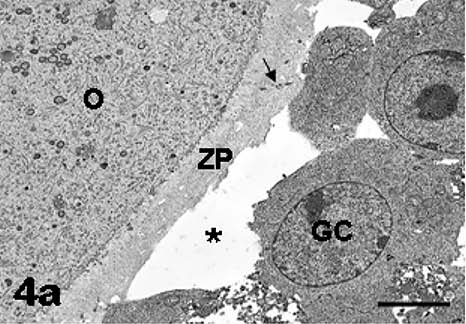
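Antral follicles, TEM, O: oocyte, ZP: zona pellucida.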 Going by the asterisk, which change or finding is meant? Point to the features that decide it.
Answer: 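Areas of detachment. A large empty white space separates the small nucleated cells from the pale band around the large cell.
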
